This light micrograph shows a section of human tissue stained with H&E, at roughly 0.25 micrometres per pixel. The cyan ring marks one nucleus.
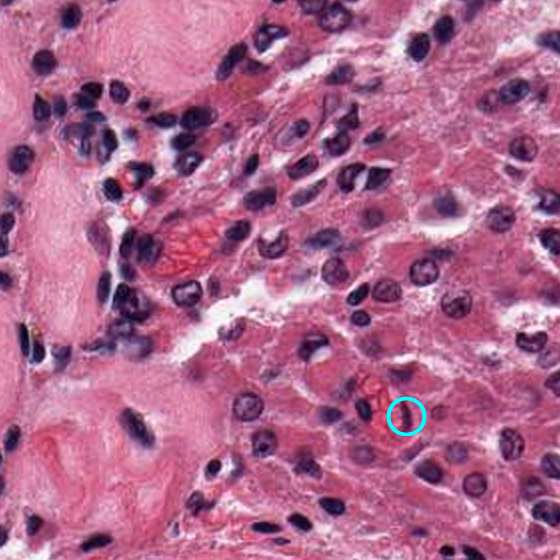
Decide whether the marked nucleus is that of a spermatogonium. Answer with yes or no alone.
no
